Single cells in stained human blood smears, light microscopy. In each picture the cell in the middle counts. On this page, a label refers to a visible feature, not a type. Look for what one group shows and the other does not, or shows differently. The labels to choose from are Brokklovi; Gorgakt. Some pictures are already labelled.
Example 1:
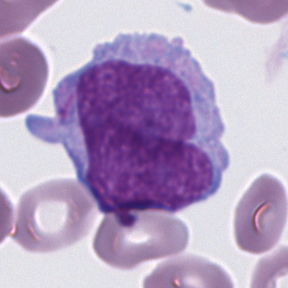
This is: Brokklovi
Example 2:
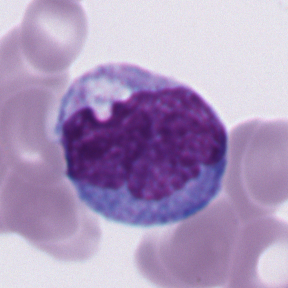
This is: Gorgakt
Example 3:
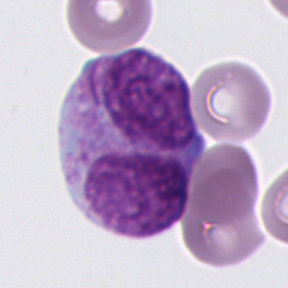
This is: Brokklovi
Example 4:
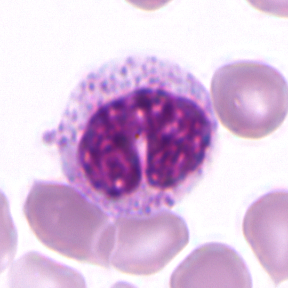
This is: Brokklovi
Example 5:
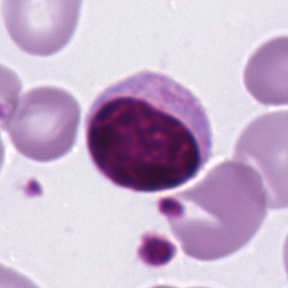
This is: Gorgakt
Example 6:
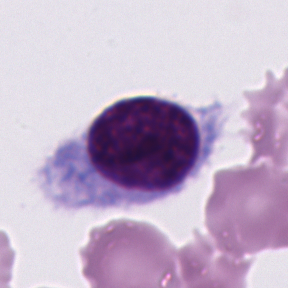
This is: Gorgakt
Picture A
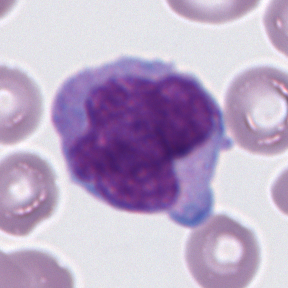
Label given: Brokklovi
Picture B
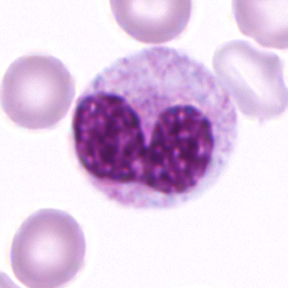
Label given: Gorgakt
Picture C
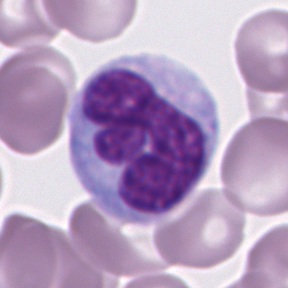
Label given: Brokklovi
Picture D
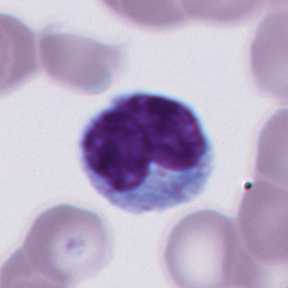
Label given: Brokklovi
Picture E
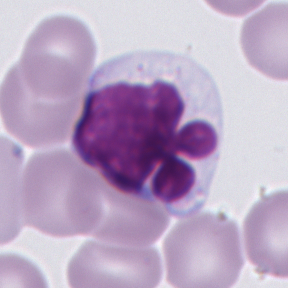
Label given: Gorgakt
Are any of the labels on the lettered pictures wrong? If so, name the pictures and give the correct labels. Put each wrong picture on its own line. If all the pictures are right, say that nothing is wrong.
B should be Brokklovi, not Gorgakt
E should be Brokklovi, not Gorgakt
